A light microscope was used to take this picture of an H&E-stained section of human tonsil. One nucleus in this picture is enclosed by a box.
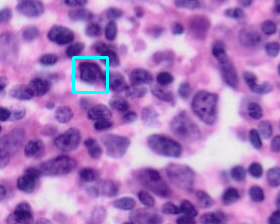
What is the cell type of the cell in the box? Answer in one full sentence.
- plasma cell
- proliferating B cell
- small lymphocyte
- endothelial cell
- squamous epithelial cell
Recorded by type, the cell in the box is a proliferating B cell.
